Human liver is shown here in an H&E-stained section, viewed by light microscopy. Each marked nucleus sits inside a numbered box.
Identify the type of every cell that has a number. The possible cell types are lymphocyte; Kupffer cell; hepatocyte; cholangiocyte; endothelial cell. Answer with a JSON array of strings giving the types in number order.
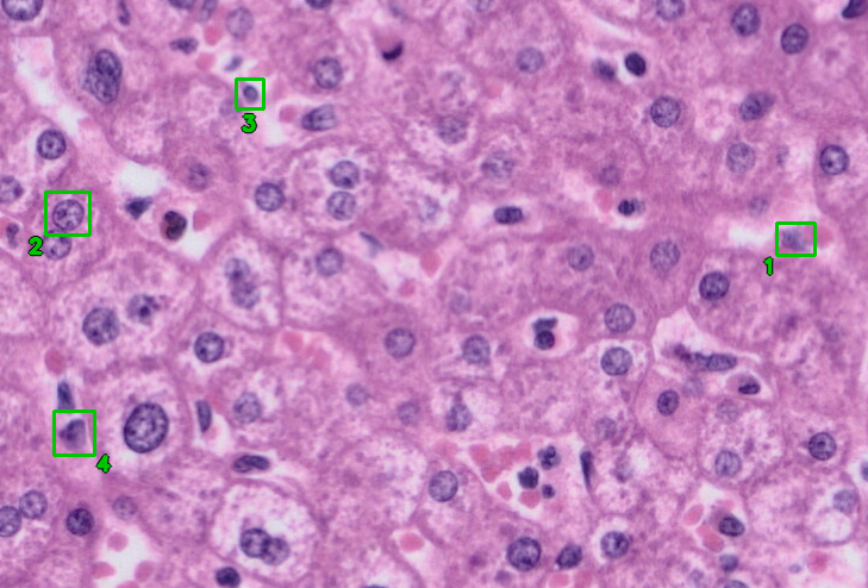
["endothelial cell", "hepatocyte", "lymphocyte", "endothelial cell"]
